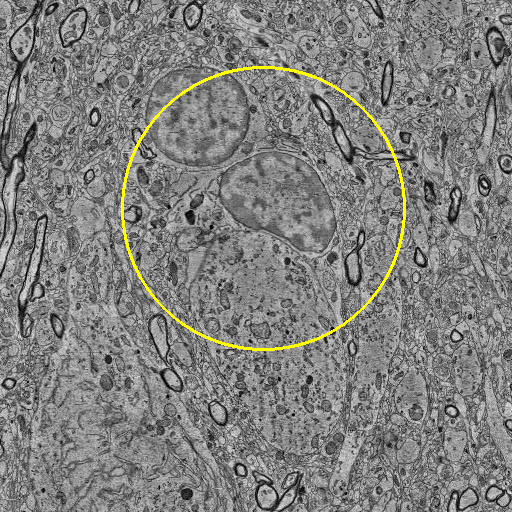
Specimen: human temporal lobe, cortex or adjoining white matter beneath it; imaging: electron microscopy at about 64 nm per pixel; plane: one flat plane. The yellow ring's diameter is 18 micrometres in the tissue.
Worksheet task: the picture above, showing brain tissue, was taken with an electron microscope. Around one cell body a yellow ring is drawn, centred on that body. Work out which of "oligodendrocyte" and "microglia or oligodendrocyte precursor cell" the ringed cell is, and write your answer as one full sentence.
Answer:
It is a microglial cell or oligodendrocyte precursor cell whose cell body lies at the centre of the yellow ring.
